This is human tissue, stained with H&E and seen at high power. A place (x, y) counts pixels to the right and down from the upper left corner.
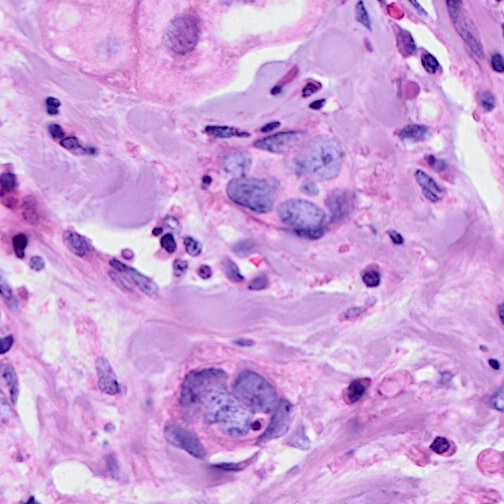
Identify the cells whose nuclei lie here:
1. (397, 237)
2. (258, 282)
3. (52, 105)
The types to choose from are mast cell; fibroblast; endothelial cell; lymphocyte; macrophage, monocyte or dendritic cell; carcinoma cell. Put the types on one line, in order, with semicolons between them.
lymphocyte; endothelial cell; lymphocyte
